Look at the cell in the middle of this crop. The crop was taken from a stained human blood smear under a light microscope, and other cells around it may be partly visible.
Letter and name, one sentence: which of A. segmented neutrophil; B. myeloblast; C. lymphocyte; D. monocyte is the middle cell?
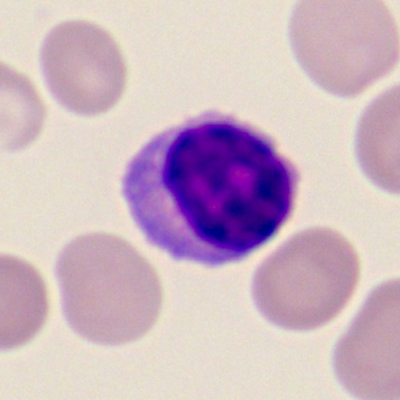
The correct choice is option C, which identifies the middle cell as a lymphocyte.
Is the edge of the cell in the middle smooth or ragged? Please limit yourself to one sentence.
Its surface contour departs from smoothness through ragged edges or outward projections.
